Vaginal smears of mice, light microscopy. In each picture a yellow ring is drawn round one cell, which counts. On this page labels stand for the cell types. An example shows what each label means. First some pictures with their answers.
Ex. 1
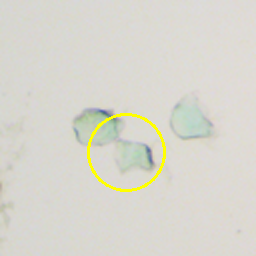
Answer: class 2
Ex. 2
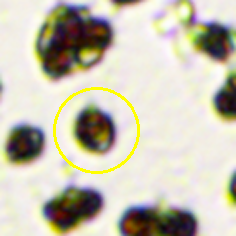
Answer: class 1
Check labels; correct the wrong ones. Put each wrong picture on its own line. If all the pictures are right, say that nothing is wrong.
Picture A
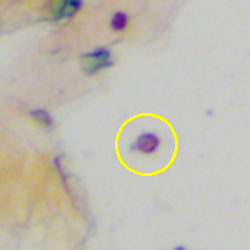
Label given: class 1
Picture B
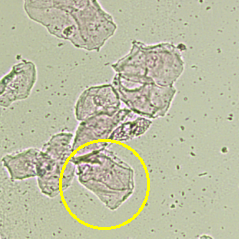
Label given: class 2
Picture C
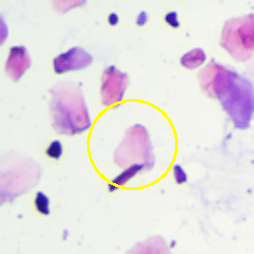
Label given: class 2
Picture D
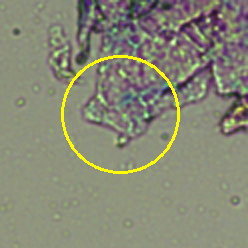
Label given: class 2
All labels are correct.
